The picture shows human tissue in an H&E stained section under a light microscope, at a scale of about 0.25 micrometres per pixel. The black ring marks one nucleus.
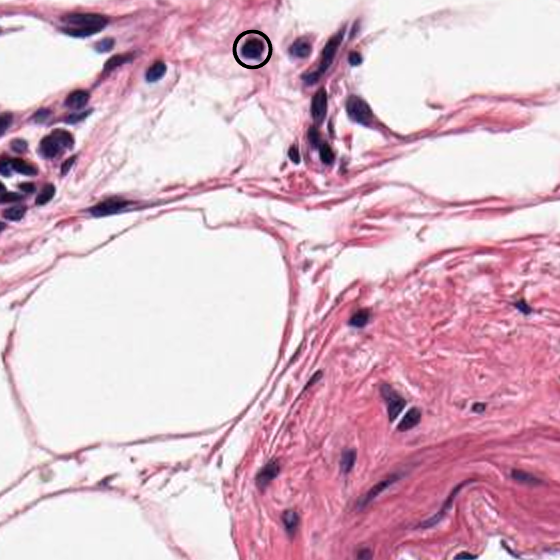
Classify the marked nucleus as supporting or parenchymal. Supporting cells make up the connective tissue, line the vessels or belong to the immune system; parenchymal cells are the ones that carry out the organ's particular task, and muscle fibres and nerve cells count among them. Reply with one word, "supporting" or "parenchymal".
supporting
